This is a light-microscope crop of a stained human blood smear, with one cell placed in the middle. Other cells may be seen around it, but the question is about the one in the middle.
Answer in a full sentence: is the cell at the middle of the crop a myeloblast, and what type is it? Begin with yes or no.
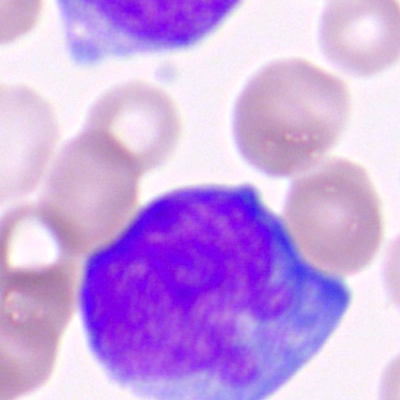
Yes, the cell at the crop's center is a myeloblast.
